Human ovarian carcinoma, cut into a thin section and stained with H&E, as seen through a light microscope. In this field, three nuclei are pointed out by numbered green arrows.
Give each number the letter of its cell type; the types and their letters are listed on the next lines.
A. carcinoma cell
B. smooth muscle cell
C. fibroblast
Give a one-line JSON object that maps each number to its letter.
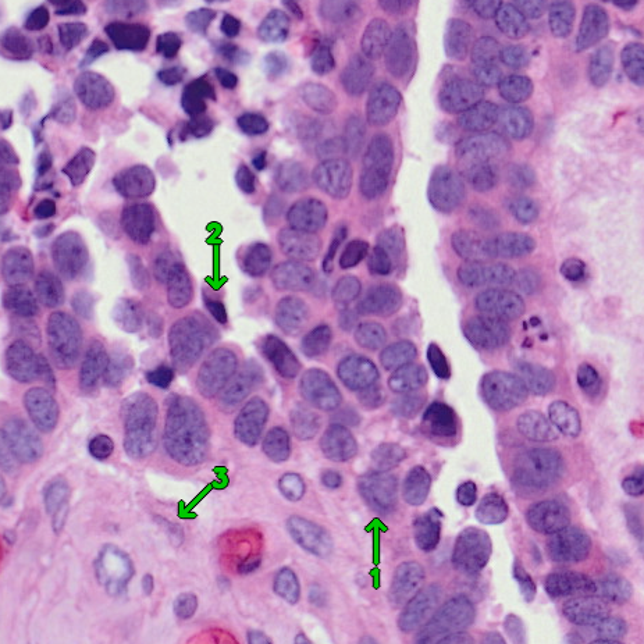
{"1": "A", "2": "A", "3": "C"}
